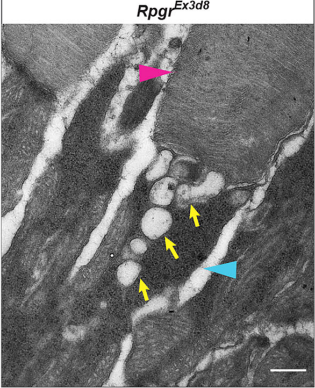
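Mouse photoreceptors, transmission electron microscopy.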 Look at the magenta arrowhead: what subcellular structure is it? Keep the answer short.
Outer segments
